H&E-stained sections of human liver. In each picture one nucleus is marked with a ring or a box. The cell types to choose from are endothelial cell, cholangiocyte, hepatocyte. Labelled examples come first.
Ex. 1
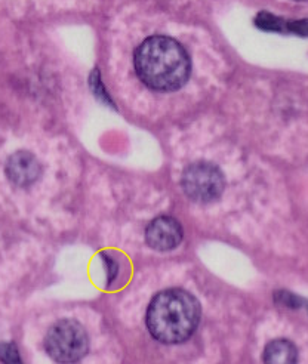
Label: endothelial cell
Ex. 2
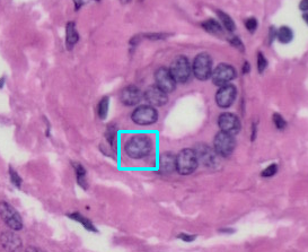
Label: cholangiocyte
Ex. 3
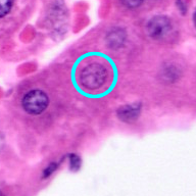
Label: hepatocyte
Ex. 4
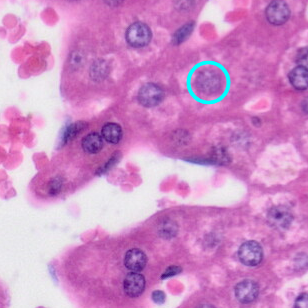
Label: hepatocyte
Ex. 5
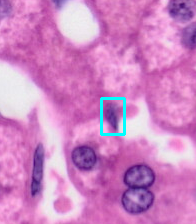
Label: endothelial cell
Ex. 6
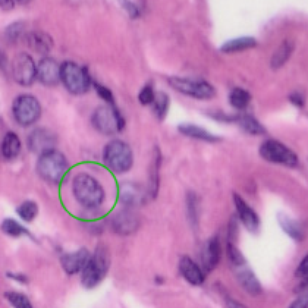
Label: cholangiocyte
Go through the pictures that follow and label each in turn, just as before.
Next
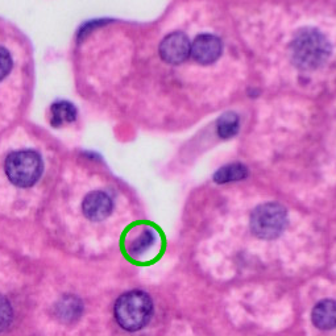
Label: endothelial cell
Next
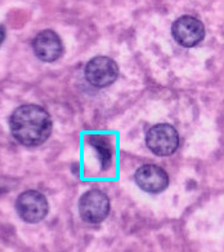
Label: endothelial cell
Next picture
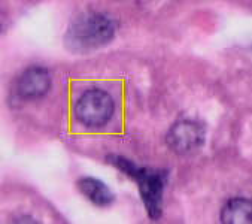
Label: hepatocyte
